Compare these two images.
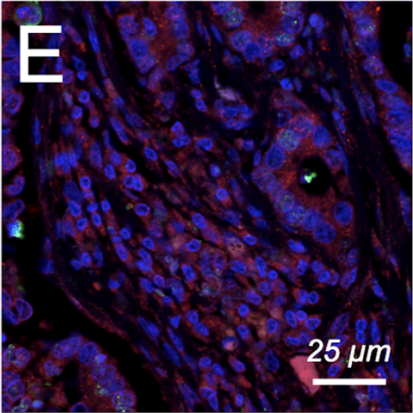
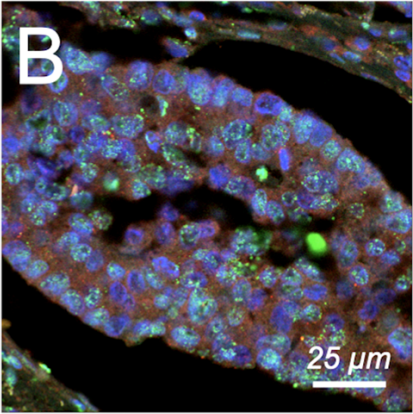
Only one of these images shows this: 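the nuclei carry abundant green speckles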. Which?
The second image.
